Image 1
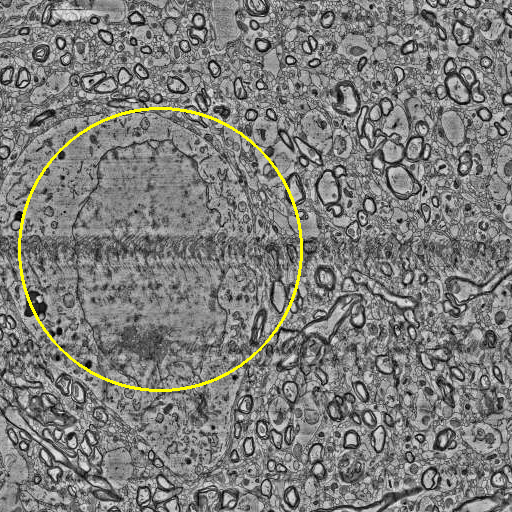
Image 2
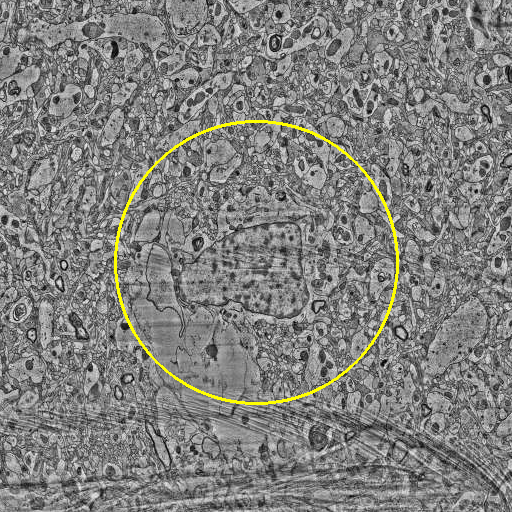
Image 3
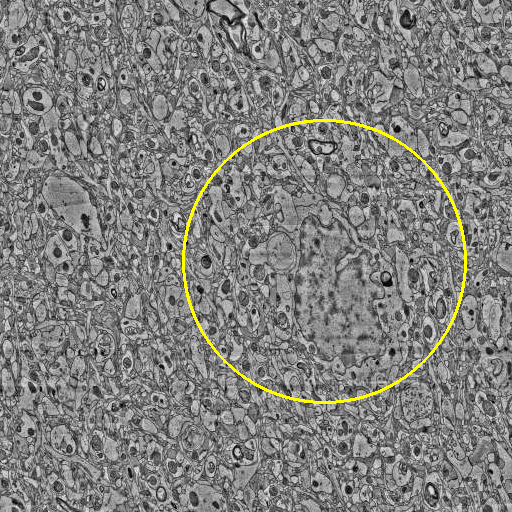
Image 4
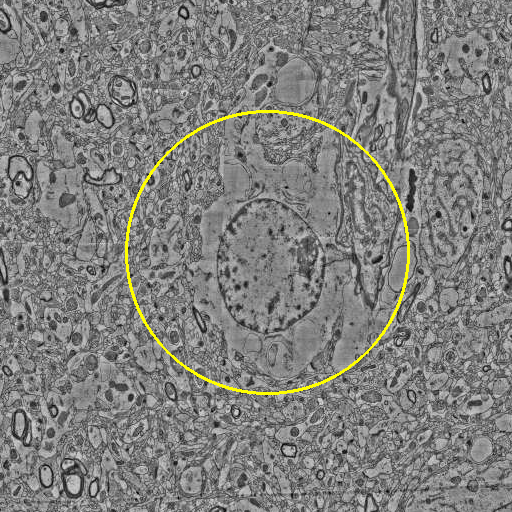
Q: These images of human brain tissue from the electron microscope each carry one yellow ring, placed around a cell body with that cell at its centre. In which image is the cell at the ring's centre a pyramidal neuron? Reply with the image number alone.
1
